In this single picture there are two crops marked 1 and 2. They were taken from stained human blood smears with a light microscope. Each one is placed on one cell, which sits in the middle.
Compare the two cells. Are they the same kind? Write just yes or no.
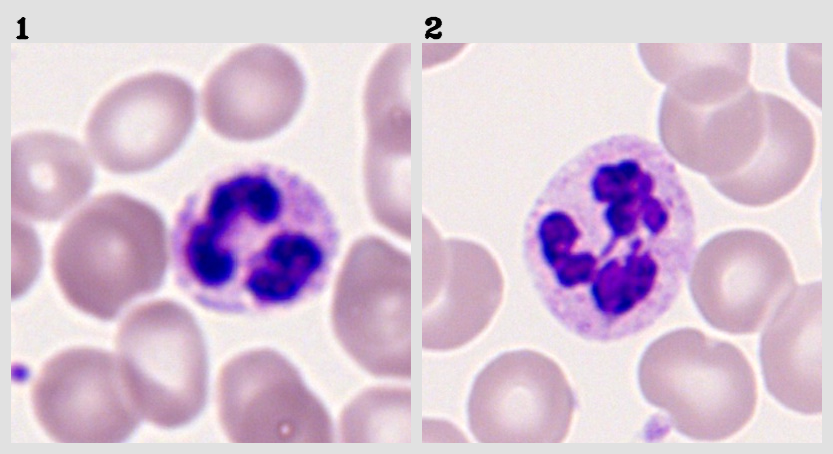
yes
